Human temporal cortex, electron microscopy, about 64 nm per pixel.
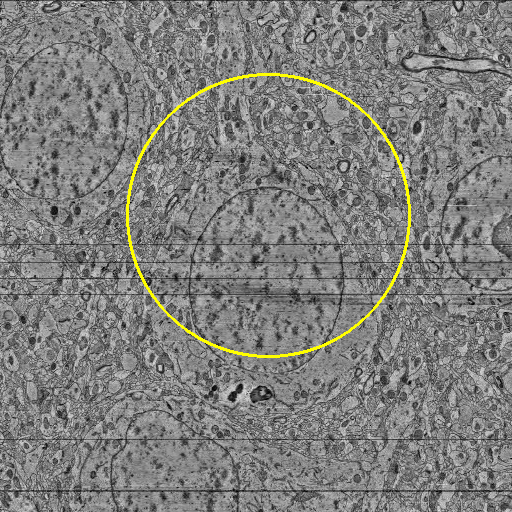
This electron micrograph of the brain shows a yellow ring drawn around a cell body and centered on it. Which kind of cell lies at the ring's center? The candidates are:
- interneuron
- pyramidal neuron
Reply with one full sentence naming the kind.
The cell lying at the ring's center in this micrograph is a pyramidal neuron.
